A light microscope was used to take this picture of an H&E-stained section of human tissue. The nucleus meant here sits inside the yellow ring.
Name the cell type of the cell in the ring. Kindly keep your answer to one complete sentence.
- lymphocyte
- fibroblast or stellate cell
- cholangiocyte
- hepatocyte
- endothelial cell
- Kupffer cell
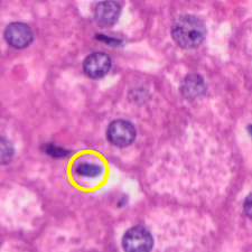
Speaking plainly, the cell in the ring is nothing other than a lymphocyte.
